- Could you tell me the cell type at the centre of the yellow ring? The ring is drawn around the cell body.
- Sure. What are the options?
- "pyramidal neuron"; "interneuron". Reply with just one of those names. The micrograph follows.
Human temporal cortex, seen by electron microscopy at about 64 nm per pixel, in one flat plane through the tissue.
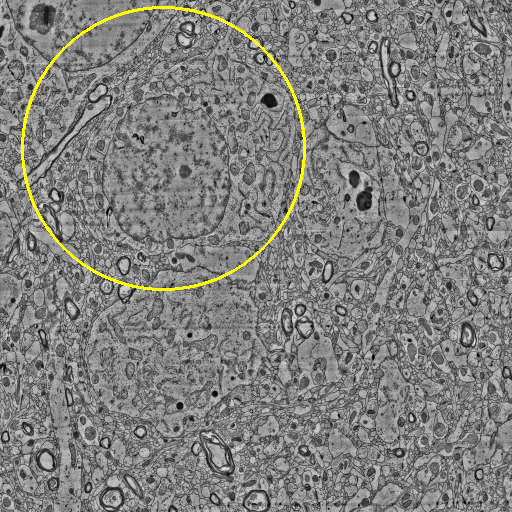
interneuron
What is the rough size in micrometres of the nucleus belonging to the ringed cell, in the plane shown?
The ringed cell's nucleus is about 9 micrometres across in this plane.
